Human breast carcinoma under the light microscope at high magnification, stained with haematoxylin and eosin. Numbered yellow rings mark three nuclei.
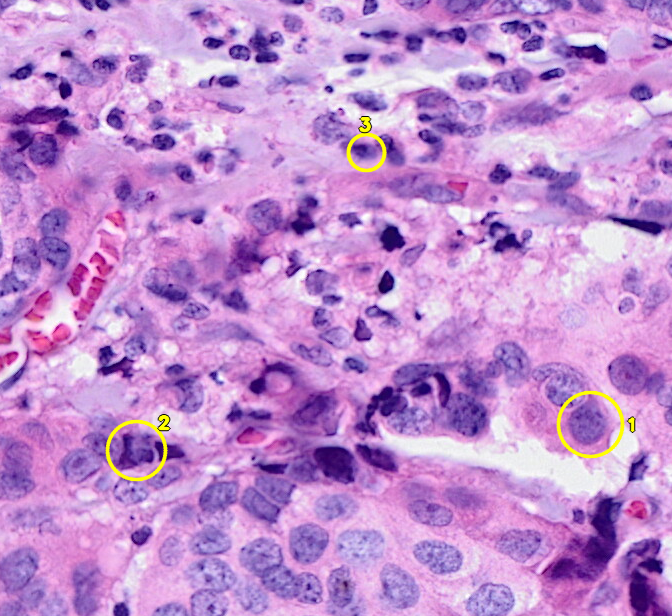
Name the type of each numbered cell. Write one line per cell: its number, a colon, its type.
1: carcinoma cell
2: carcinoma cell
3: lymphocyte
